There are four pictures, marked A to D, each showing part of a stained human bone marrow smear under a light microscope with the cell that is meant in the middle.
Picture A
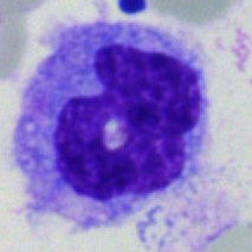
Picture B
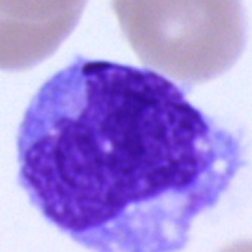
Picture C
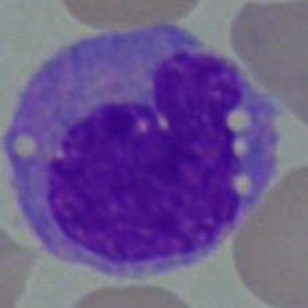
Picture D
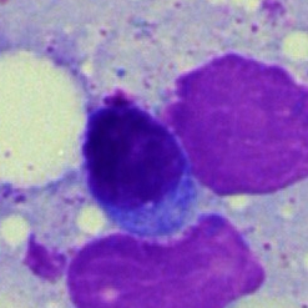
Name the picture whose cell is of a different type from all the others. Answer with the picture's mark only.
D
